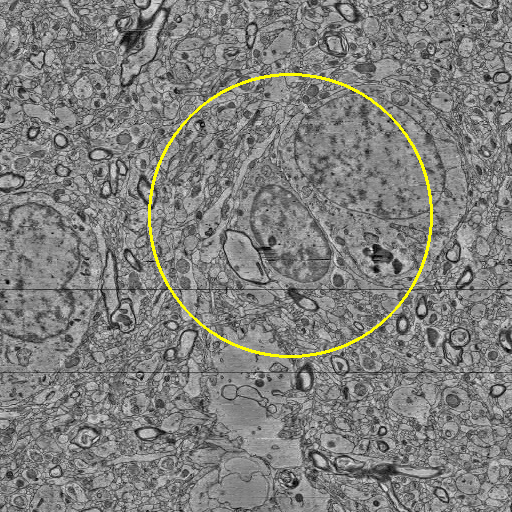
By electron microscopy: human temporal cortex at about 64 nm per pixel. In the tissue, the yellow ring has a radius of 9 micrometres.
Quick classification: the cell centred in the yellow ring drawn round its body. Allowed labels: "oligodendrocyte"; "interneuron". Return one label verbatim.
oligodendrocyte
